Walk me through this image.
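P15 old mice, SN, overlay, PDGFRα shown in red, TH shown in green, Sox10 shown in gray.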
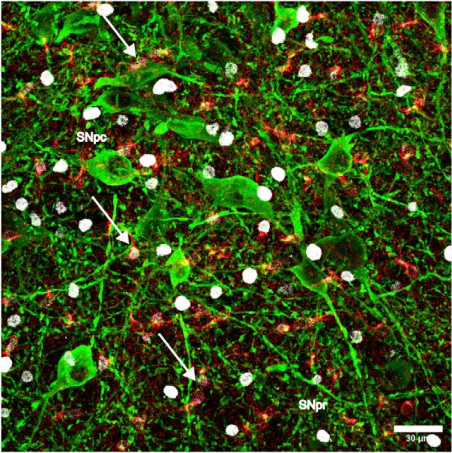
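This is brain tissue in which large green neurons with long processes lie among many small, round, bright gray nuclei. The gray nuclei are much smaller than the neuronal cell bodies and are scattered evenly throughout the field, some lying close against the neurons. Small red cells with fine branching processes are dispersed through the background, and several of them enclose a gray nucleus. White arrows point to such red cells carrying a gray nucleus. Green fibres form a dense meshwork that interweaves with the red processes across the field.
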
